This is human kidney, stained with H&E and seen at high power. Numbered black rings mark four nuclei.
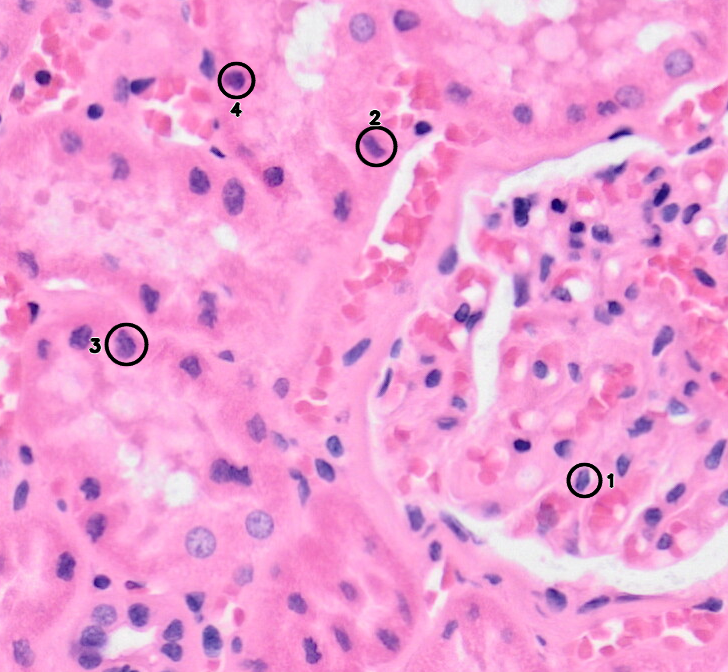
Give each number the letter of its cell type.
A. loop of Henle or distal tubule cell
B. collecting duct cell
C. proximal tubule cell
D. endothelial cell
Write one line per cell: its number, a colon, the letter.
1: D
2: C
3: C
4: C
